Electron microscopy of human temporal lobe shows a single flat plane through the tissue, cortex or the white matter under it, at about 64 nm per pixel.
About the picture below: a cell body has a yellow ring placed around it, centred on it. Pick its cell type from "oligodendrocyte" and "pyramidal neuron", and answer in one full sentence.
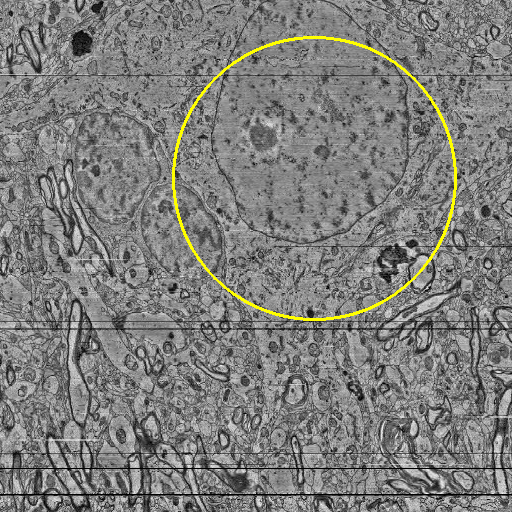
In the picture, a pyramidal neuron is the cell sitting at the centre of the yellow ring.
